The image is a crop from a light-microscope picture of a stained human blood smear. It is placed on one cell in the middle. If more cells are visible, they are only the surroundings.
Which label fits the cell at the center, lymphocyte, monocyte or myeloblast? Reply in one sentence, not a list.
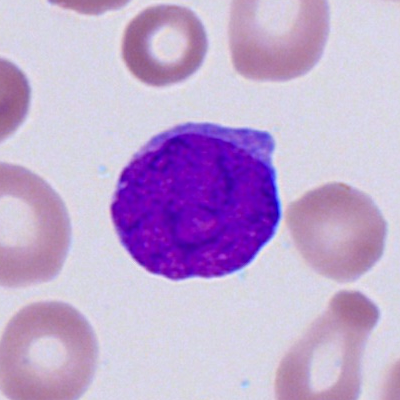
Centrally within this crop lies a myeloblast.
